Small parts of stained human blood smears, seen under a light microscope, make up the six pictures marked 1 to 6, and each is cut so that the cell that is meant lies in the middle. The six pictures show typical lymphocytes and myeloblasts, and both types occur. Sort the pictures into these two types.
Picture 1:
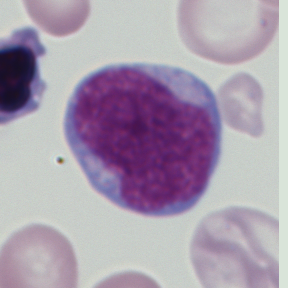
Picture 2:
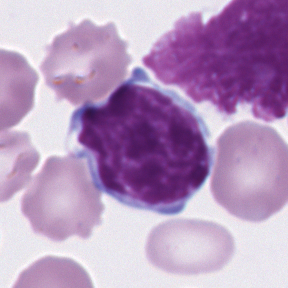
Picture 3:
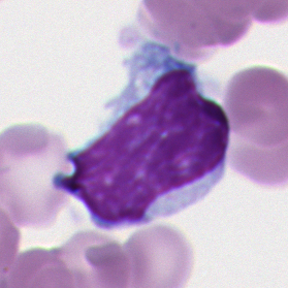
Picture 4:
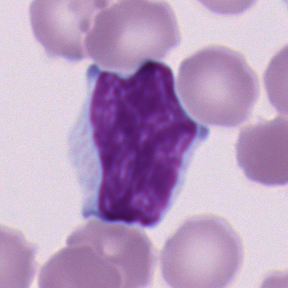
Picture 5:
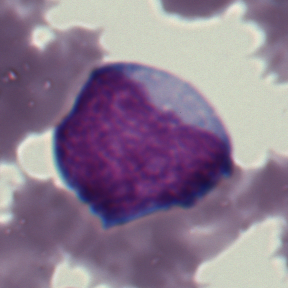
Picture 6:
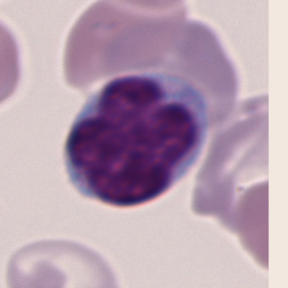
1: myeloblast
2: typical lymphocyte
3: typical lymphocyte
4: typical lymphocyte
5: myeloblast
6: typical lymphocyte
